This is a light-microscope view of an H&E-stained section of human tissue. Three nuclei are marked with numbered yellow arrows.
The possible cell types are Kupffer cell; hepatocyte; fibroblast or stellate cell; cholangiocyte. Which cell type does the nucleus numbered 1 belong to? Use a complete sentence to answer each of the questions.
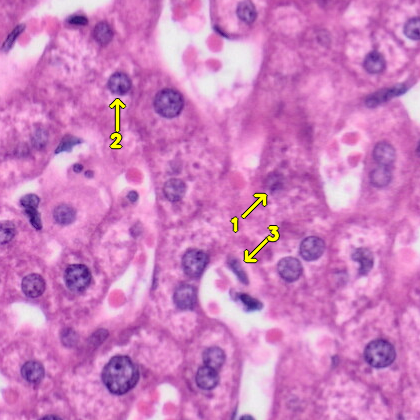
The cell that goes by number 1 is a hepatocyte.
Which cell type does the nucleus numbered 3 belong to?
The mark numbered 3 indicates the nucleus of a Kupffer cell.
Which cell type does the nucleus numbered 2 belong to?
The marked cell with the number 2 is recognised as a hepatocyte.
